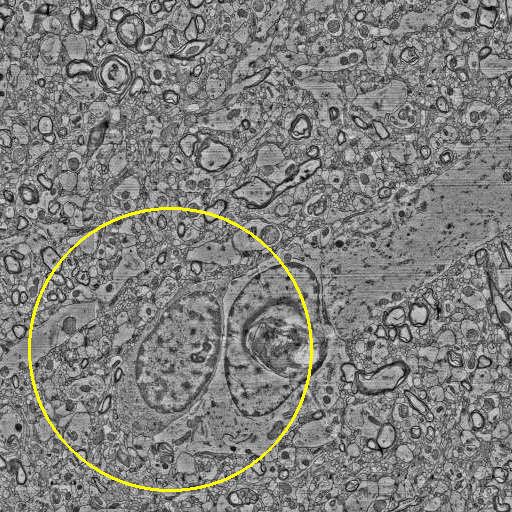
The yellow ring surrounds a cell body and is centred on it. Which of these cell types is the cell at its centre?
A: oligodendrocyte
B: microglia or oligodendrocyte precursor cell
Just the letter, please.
A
